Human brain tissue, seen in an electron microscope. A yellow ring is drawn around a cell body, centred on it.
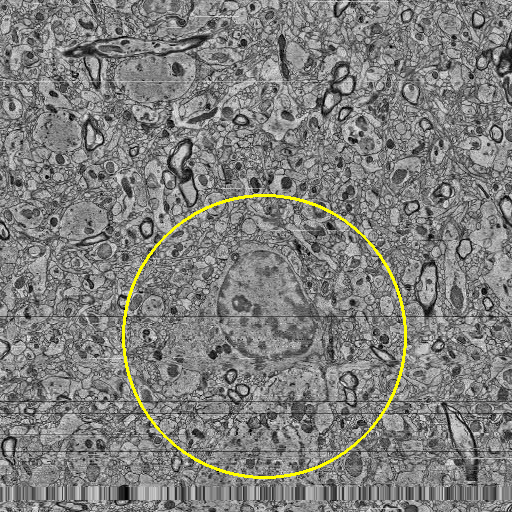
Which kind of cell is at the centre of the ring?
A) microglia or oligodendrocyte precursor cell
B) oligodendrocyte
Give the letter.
B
